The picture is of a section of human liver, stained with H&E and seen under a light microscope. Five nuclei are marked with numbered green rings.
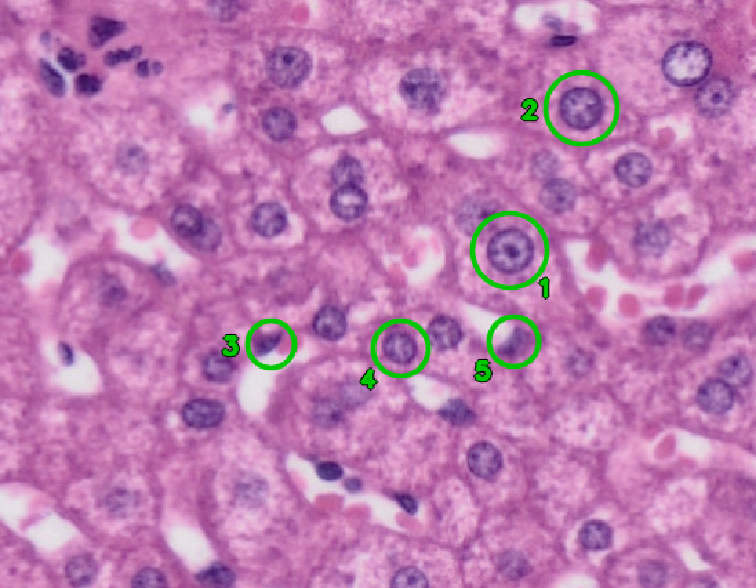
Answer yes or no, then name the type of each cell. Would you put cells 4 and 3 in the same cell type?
No, unlike cell 4, which is a hepatocyte, cell 3 is an endothelial cell.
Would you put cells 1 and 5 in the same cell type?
No: cell 1 is a hepatocyte, while cell 5 is an endothelial cell.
